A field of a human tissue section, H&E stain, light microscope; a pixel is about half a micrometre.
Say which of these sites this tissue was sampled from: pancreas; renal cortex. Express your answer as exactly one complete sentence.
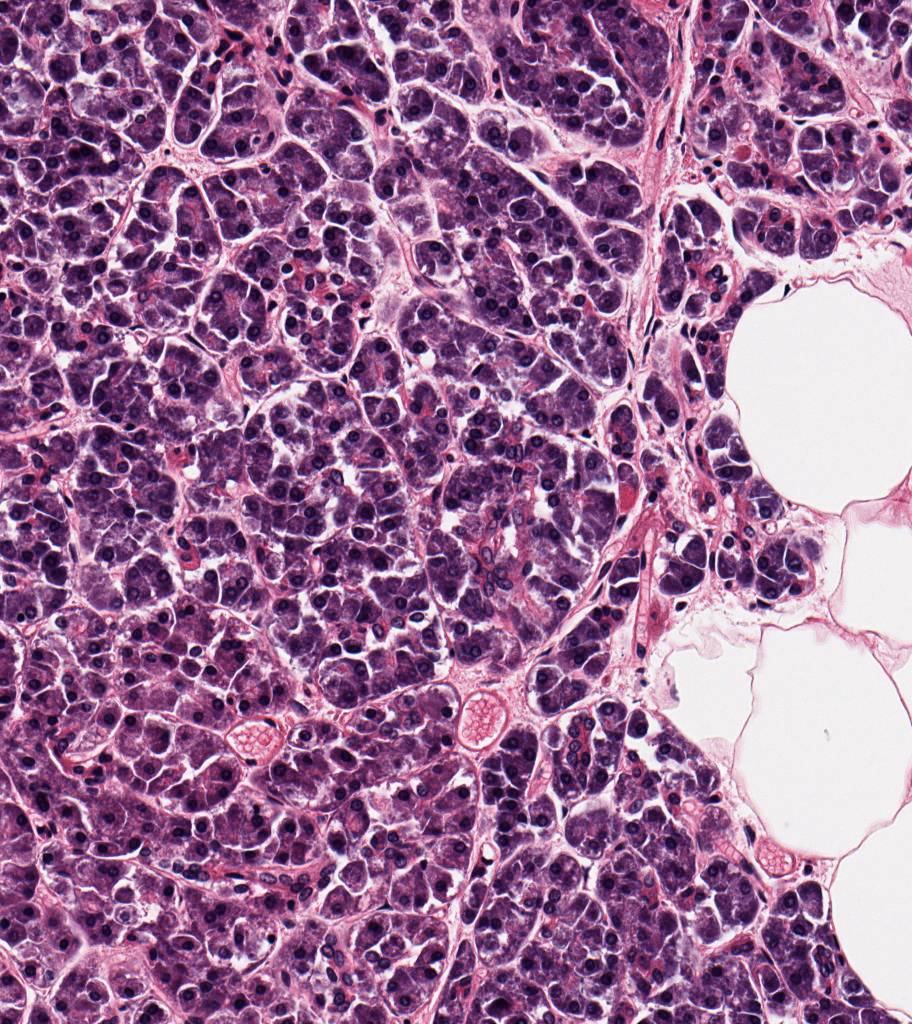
The specimen on this slide came from the pancreas.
